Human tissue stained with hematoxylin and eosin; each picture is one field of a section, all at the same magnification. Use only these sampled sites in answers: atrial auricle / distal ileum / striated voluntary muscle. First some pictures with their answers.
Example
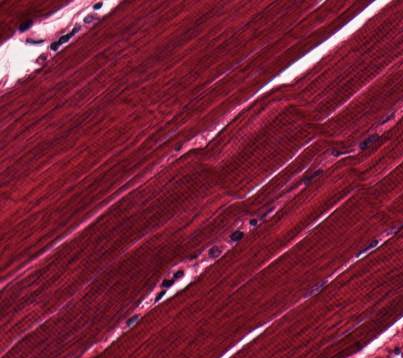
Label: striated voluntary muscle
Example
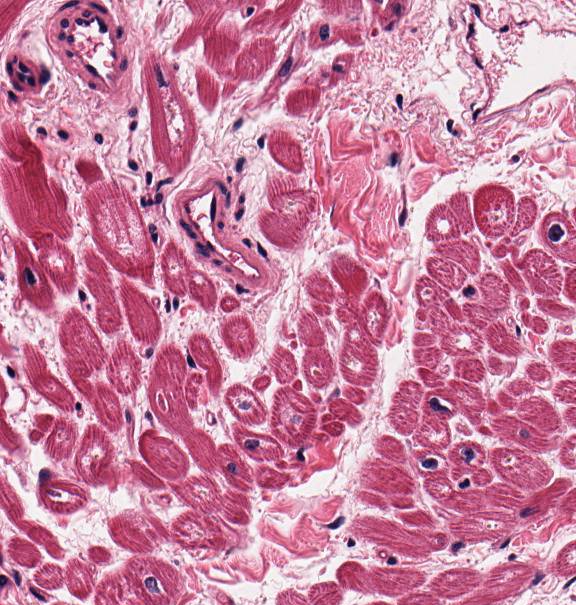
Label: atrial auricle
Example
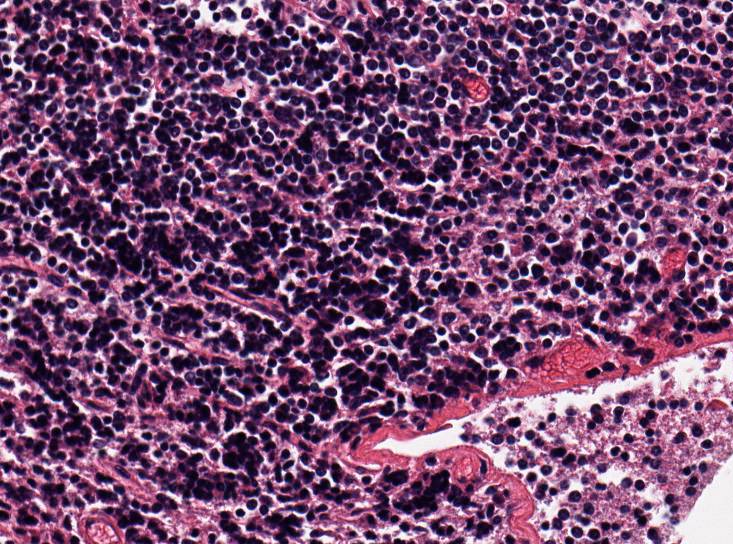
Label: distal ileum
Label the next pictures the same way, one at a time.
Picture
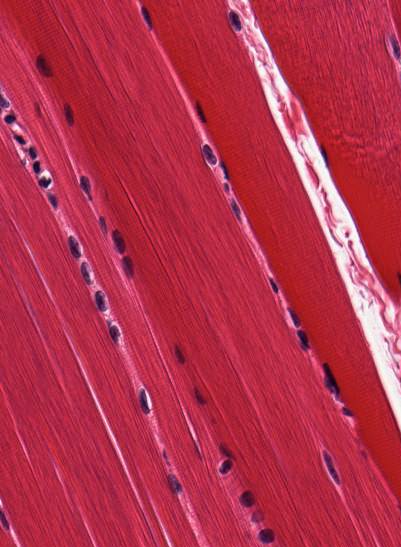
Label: striated voluntary muscle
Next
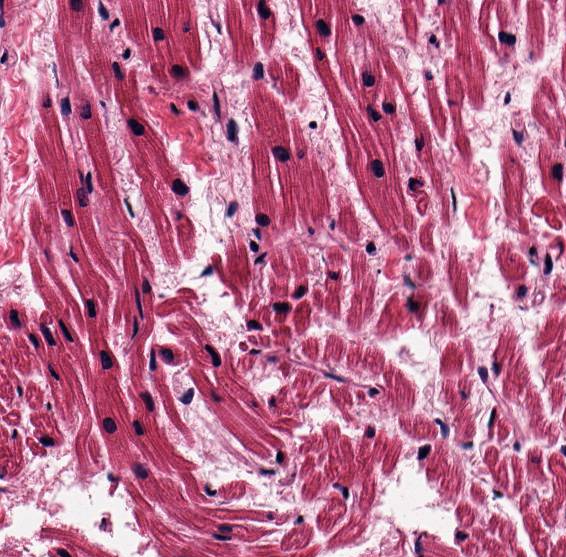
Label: atrial auricle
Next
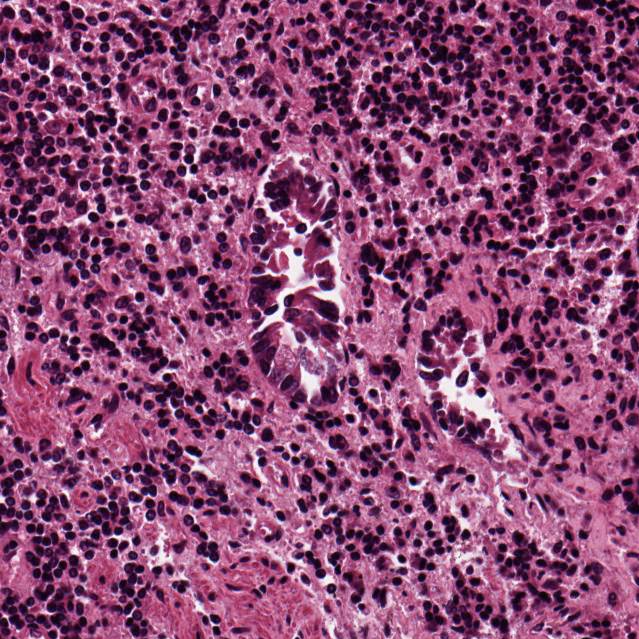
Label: distal ileum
